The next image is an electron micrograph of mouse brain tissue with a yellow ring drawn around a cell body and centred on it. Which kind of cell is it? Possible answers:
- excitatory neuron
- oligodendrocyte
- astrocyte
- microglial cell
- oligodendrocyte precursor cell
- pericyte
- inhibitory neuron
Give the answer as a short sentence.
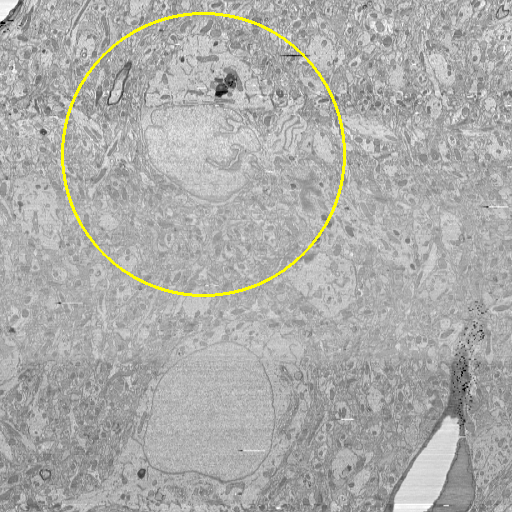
In the ring's centre is an oligodendrocyte precursor cell.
